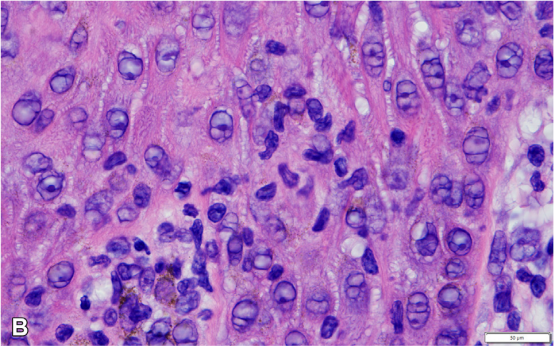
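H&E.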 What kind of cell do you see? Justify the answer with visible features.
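Small to intermediate sized lymphocytes. Small cells with dark, irregular nuclei lie among larger epithelial cells. The epithelial cells have pale round nuclei with nucleoli and pink cytoplasm. The dark cells have scant cytoplasm.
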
